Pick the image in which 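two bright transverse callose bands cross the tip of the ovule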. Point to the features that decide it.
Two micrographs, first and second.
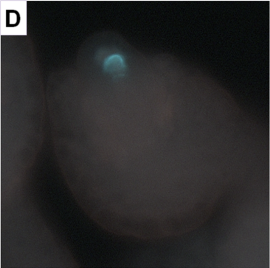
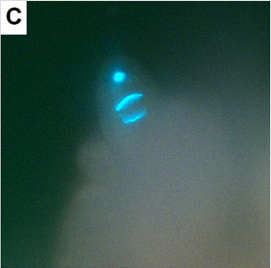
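The second image. First image: only a faint, small blue cap near the tip, no bright bands. Second image: two sharp bright blue bands stacked across the ovule tip plus a spot at the tip.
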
